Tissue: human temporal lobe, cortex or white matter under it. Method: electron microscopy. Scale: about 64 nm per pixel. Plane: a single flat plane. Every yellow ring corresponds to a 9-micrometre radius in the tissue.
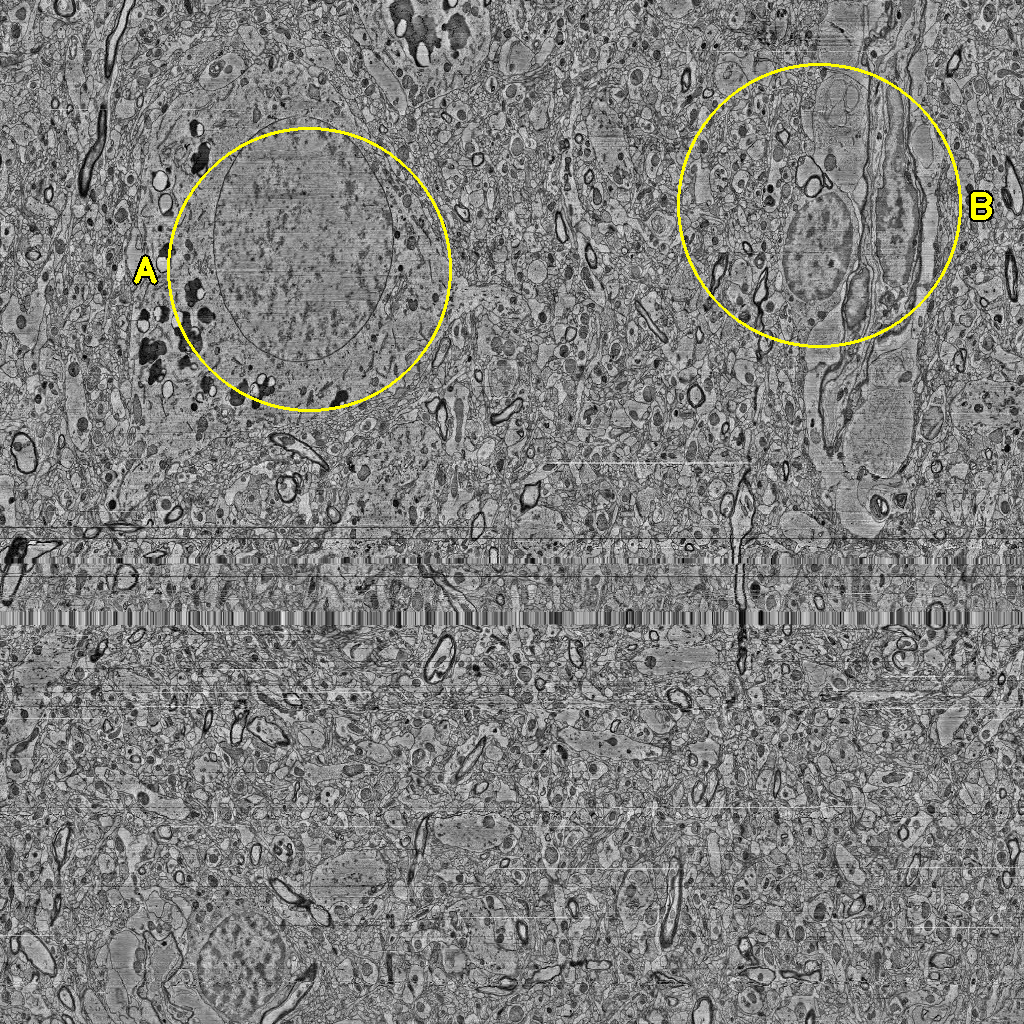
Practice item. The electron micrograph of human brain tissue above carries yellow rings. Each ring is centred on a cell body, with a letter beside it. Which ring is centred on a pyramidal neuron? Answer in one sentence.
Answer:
Ring A is centred on it.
